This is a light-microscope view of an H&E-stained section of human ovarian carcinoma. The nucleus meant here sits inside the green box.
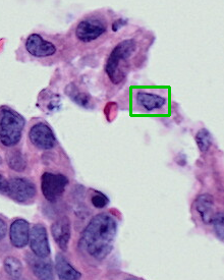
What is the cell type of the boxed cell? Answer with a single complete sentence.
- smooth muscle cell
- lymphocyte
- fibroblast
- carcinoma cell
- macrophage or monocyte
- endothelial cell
Assigned to a cell type, the boxed cell is a macrophage or monocyte.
